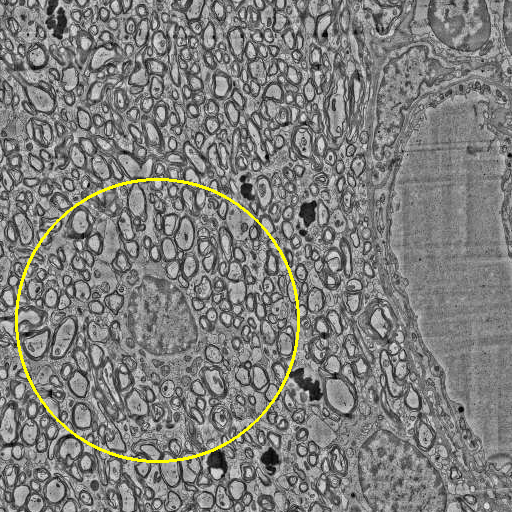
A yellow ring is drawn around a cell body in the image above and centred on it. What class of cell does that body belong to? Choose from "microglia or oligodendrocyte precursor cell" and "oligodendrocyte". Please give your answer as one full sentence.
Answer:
The yellow ring above is centred on the cell body of an oligodendrocyte.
